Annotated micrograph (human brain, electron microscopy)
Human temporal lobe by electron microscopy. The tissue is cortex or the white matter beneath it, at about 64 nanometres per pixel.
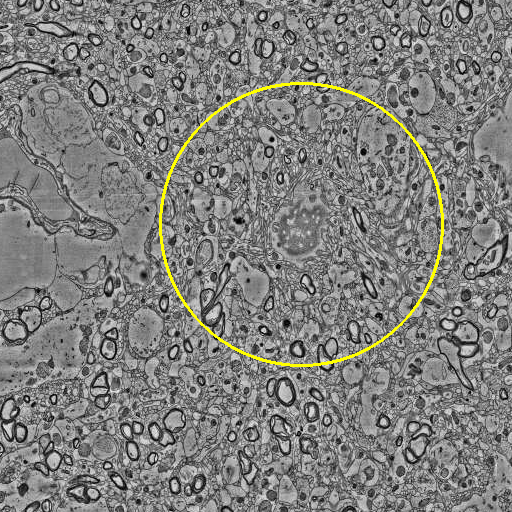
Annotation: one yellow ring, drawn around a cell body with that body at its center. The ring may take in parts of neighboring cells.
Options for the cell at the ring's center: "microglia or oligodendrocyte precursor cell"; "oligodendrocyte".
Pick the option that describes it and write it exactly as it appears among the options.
oligodendrocyte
